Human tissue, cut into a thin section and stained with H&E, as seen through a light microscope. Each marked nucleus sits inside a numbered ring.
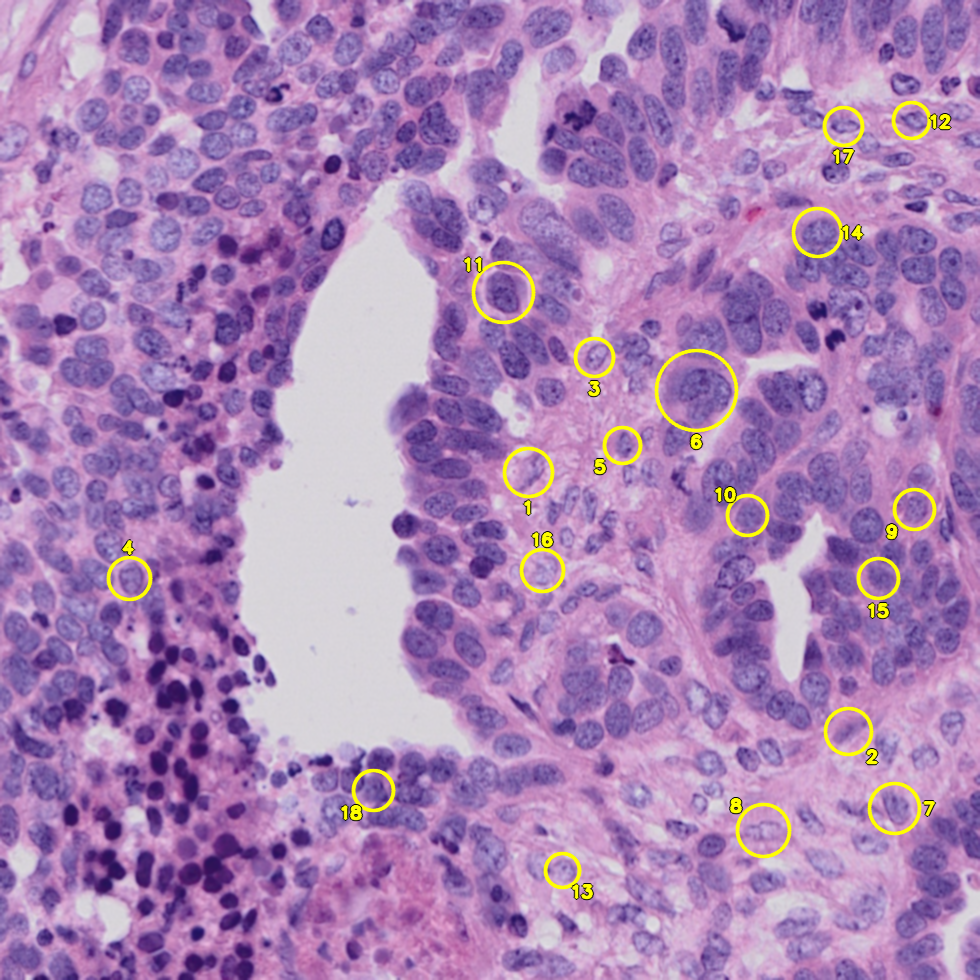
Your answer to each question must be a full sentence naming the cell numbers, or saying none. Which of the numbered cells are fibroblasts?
The cells 1, 2, 3, 5, 7, 8, 12, 13, 16 and 17 in this section are fibroblasts.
